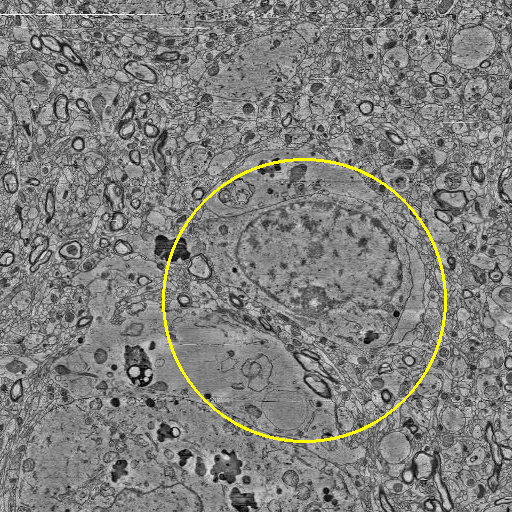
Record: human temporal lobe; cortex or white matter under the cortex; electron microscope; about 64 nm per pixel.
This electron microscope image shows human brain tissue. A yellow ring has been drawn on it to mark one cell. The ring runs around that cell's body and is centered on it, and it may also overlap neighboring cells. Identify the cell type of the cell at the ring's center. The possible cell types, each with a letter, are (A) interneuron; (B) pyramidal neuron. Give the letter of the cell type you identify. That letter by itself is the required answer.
A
